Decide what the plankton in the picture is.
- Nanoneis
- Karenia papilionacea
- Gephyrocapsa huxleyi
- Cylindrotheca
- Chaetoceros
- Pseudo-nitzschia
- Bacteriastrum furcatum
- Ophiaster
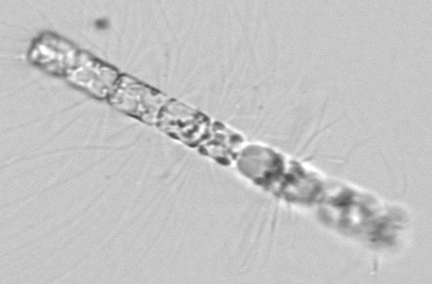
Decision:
Bacteriastrum furcatum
